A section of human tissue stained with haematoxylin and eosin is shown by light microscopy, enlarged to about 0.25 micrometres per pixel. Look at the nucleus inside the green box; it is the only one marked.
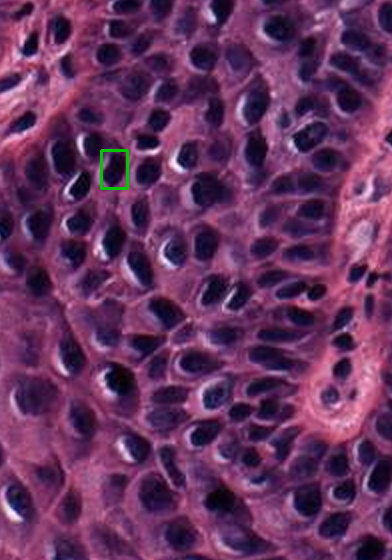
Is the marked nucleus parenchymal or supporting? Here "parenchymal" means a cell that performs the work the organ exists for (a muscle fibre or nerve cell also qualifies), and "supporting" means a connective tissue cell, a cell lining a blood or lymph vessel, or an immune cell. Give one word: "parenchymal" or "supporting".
parenchymal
